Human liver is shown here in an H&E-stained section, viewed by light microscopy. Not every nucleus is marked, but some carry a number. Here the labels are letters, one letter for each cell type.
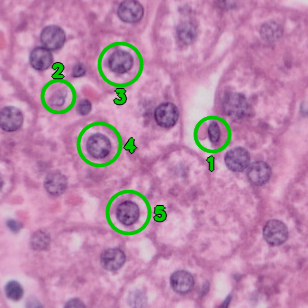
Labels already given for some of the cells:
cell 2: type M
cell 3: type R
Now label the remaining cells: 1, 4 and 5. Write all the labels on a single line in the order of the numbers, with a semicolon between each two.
type M; type R; type R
